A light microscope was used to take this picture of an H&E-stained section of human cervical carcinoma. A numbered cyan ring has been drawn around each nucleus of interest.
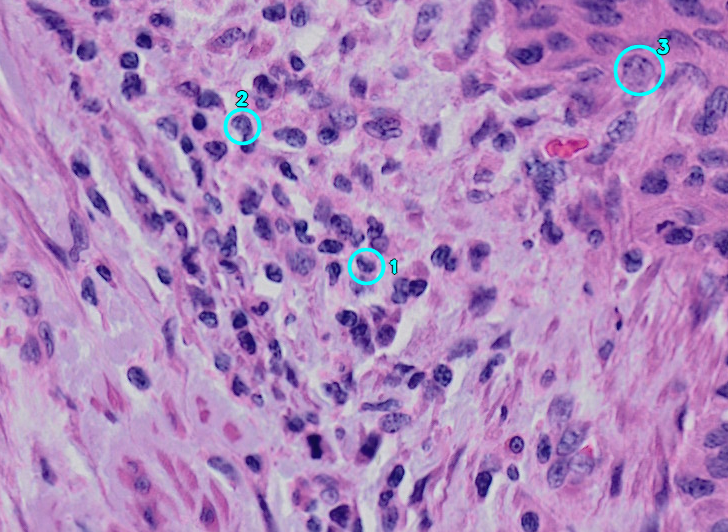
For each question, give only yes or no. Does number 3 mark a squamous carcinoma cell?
yes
